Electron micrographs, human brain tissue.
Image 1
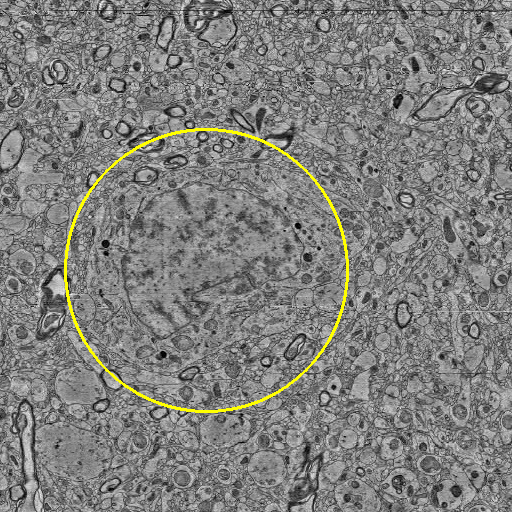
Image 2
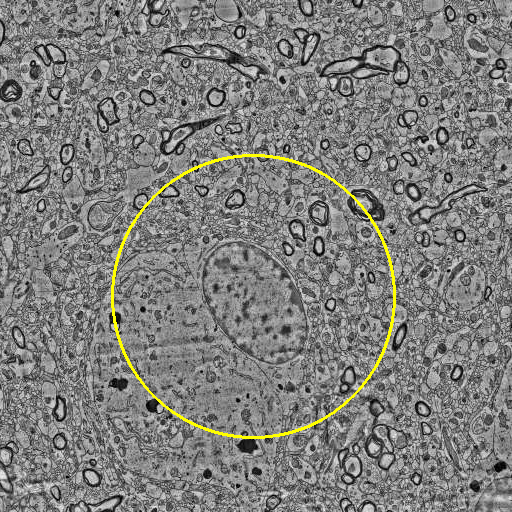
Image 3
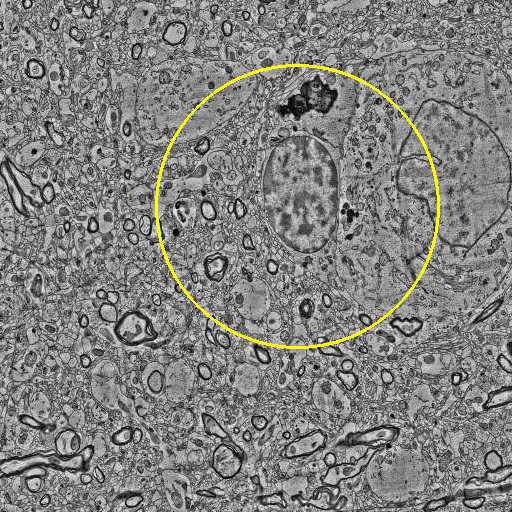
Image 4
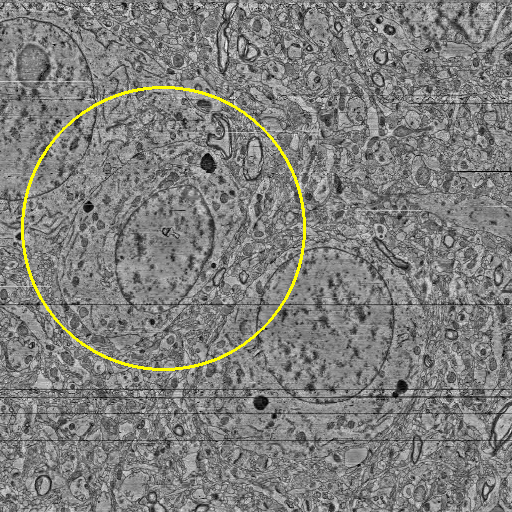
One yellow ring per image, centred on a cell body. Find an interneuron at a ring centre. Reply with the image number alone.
1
